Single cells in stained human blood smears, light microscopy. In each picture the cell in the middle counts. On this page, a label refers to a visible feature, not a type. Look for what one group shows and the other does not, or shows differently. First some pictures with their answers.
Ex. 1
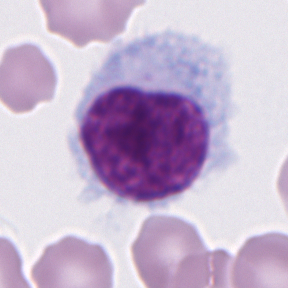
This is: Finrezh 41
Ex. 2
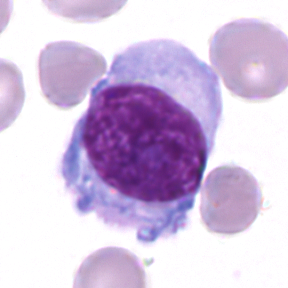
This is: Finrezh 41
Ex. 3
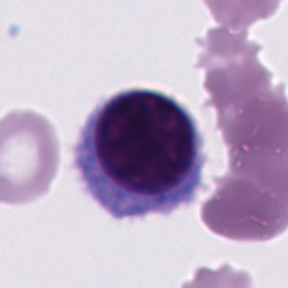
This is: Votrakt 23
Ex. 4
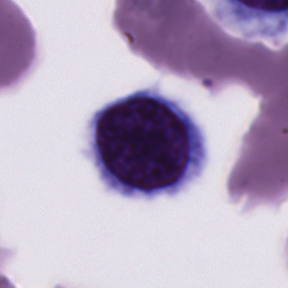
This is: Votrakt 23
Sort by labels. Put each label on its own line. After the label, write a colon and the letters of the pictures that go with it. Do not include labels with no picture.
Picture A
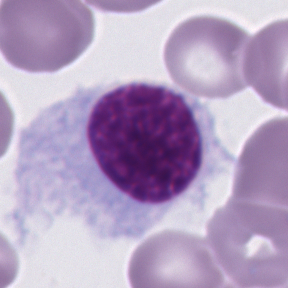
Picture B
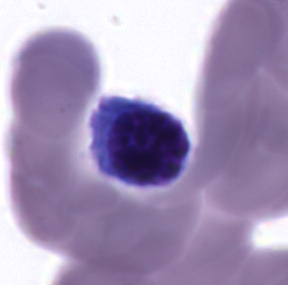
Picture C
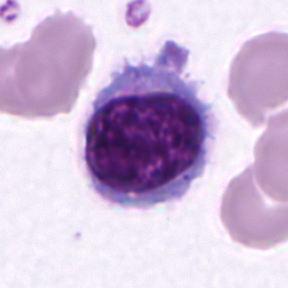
Finrezh 41: A
Votrakt 23: B, C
